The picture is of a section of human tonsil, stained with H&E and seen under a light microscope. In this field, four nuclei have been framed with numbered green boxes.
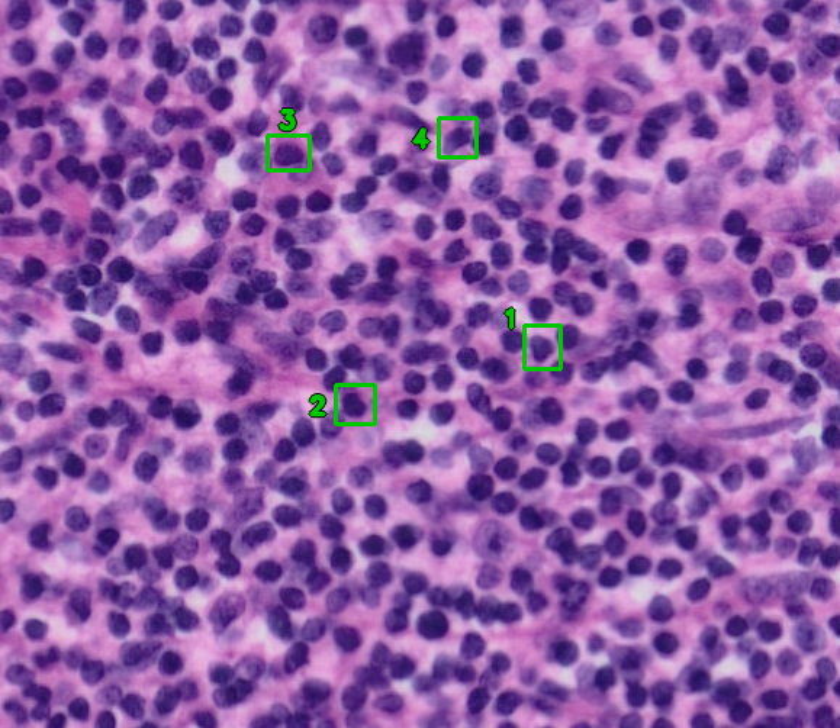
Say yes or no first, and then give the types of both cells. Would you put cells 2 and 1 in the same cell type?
Yes, cells 2 and 1 are both small lymphocytes in this section.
